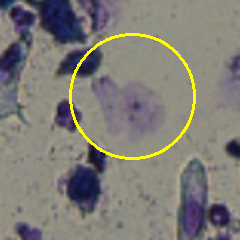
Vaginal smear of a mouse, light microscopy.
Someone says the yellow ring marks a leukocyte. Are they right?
They are not: the ring marks a cornified epithelial cell.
